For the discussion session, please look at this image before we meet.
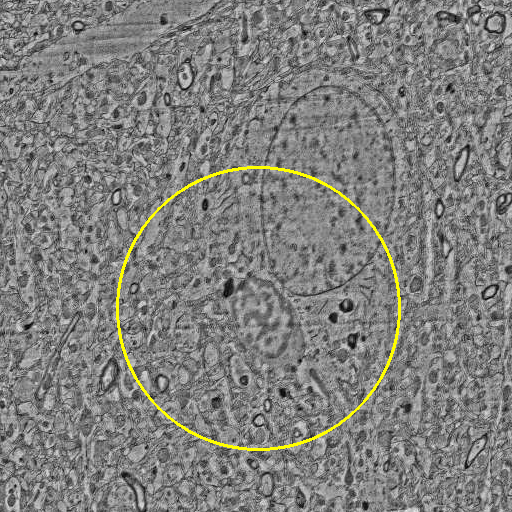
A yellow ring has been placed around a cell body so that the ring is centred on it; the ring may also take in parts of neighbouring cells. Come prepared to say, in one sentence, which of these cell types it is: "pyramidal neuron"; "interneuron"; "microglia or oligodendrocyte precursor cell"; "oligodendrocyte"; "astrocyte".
The cell centred in the ring is an oligodendrocyte.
